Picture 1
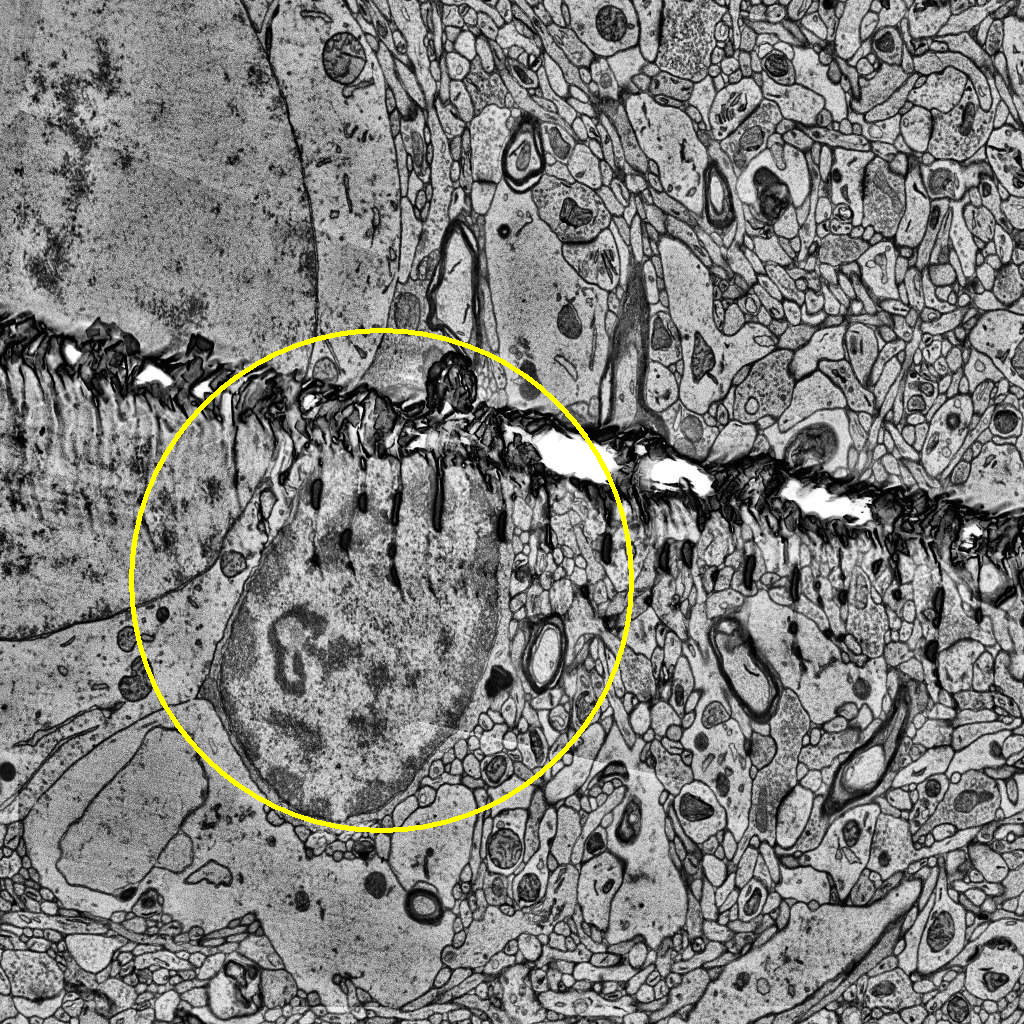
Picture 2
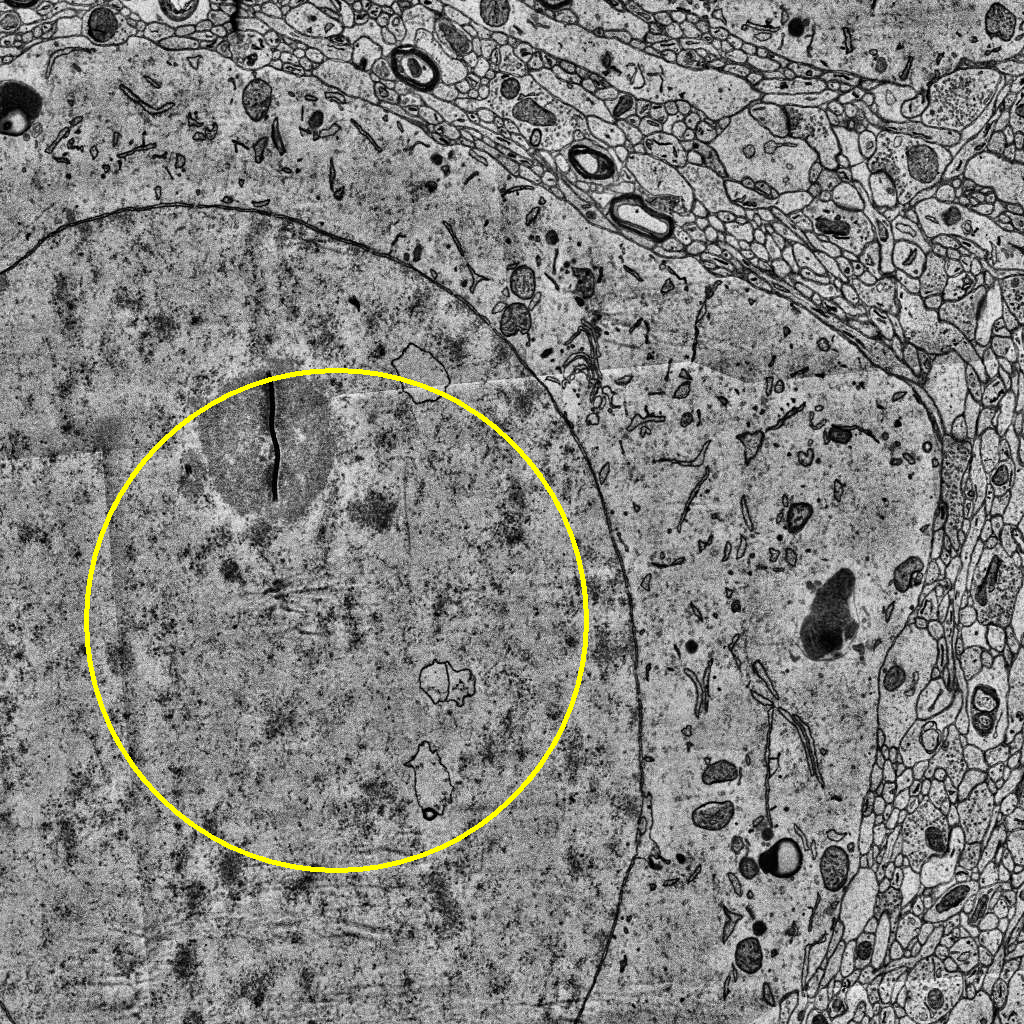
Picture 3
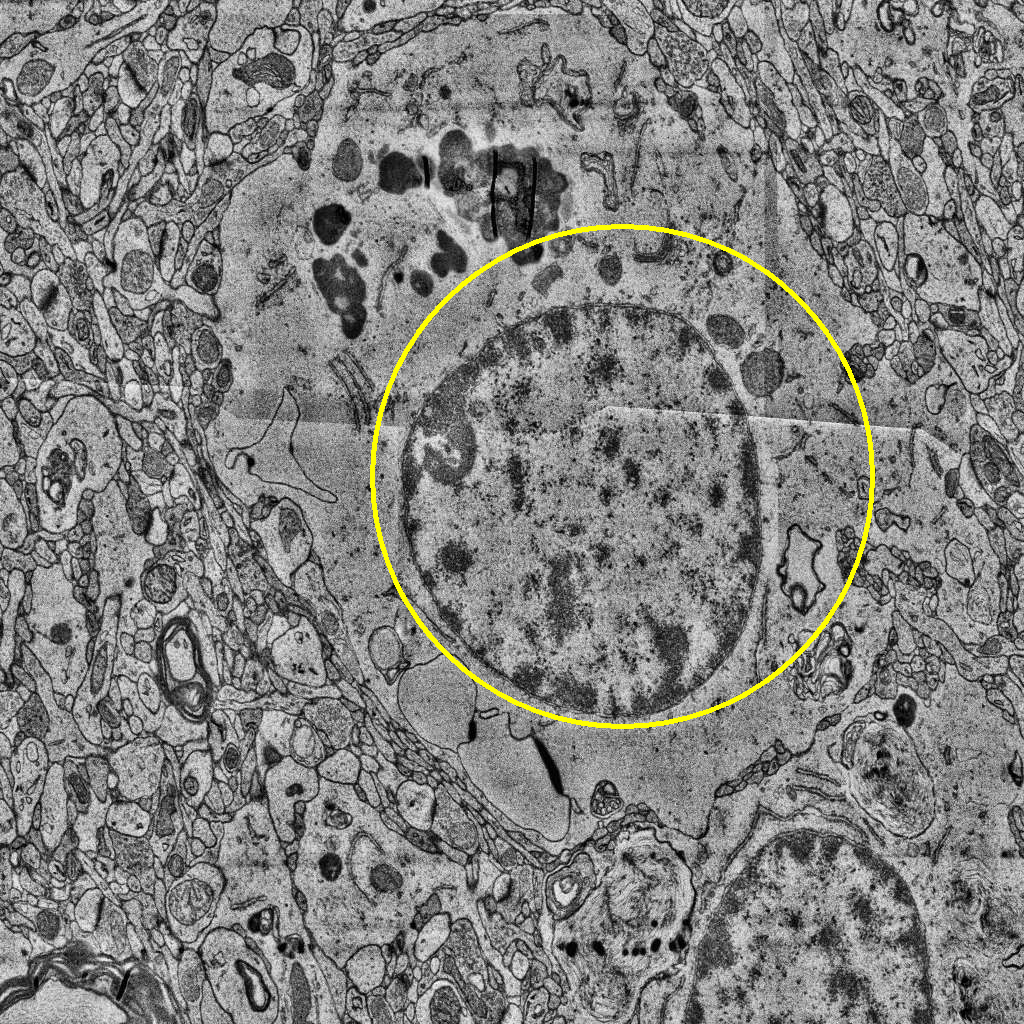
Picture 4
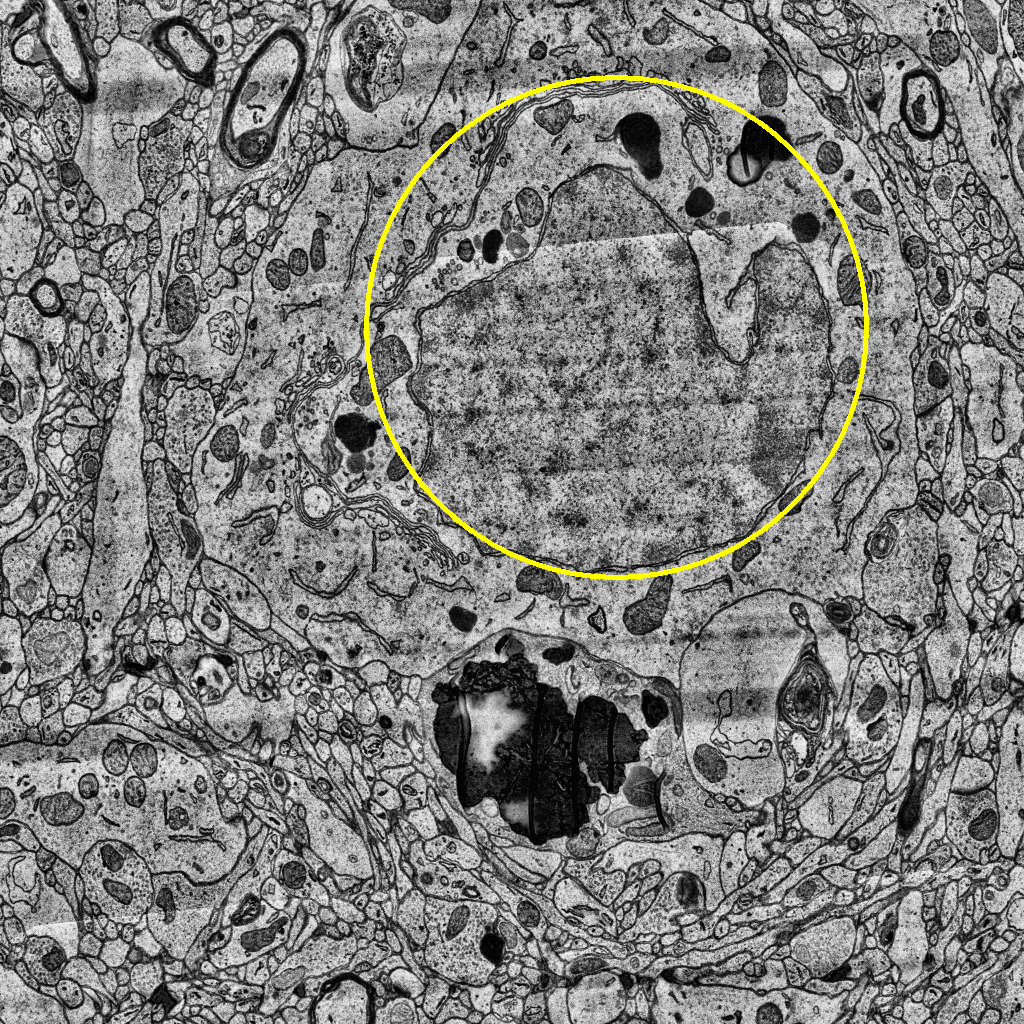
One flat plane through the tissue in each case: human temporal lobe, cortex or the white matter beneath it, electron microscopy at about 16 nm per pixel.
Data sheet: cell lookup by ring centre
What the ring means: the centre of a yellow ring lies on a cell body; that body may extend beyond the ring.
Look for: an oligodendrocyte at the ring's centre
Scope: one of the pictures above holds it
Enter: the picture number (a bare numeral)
1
